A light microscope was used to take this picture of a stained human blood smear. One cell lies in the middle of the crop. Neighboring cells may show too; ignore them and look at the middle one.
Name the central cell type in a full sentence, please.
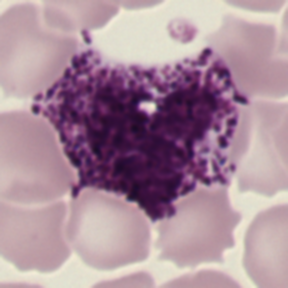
What sits at the centre of this crop is a basophil.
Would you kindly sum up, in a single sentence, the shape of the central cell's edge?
The perimeter of the cell is irregular, with ragged sections or outward projections.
